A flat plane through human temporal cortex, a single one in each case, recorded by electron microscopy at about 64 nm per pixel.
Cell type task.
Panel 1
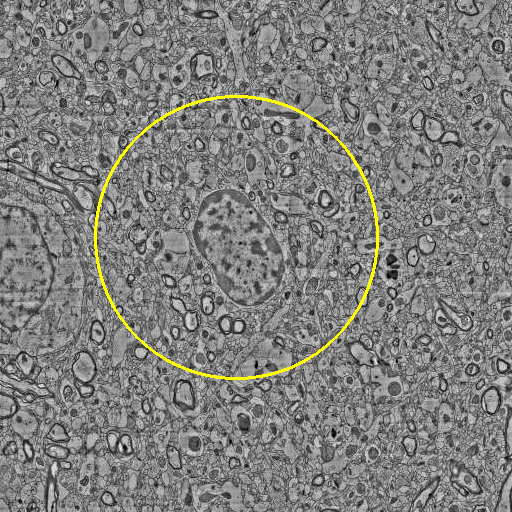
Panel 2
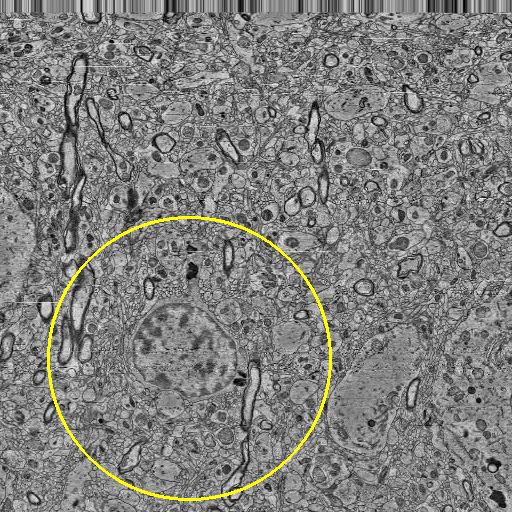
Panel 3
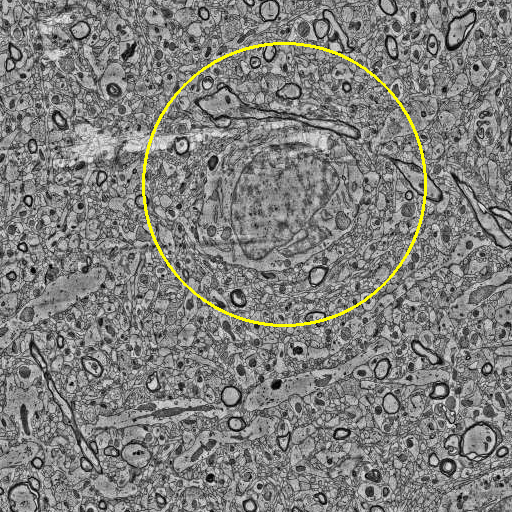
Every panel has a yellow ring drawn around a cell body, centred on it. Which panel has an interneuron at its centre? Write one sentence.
It sits at the centre of the ring in Panel 3.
